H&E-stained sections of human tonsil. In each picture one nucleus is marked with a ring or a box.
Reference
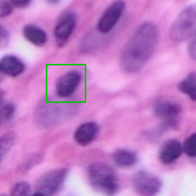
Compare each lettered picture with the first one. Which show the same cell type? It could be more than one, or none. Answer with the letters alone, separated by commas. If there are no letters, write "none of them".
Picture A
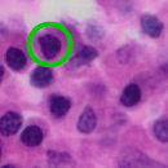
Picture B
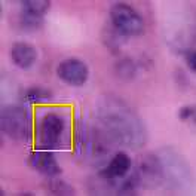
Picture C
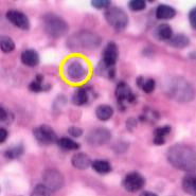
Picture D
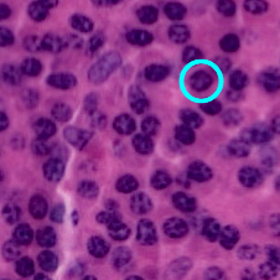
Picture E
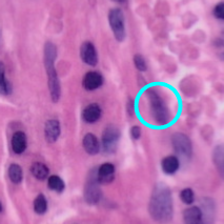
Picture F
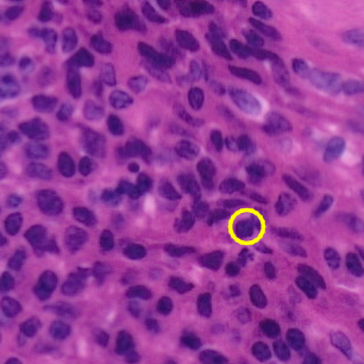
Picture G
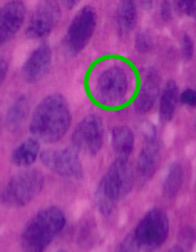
B, C, E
